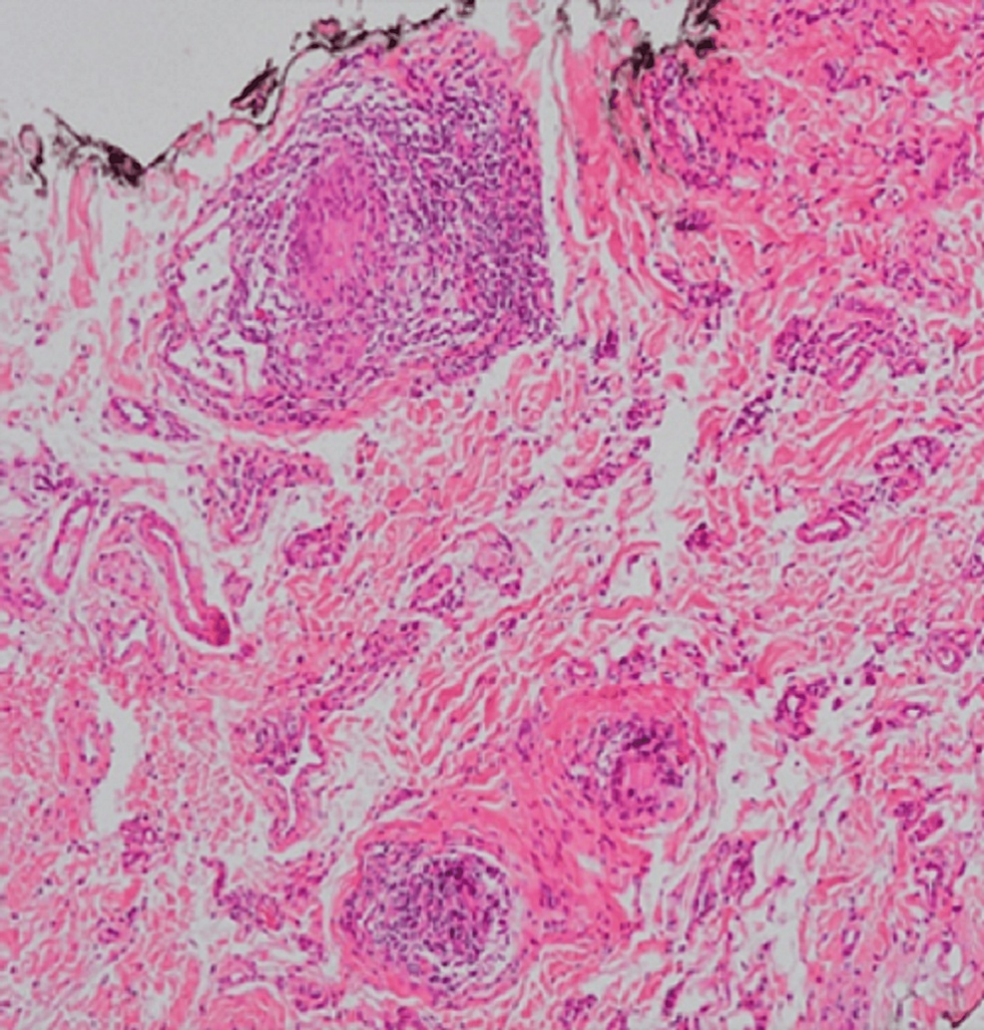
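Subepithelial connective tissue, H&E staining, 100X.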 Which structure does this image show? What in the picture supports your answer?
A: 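Several round, well-circumscribed clusters of densely packed, dark-nucleated cells lie in the connective tissue. The clusters stand out against the surrounding pink collagen bundles. The centre of the upper cluster is paler pink with less crowded nuclei than its rim.
Lymphohistiocytic nodules.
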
